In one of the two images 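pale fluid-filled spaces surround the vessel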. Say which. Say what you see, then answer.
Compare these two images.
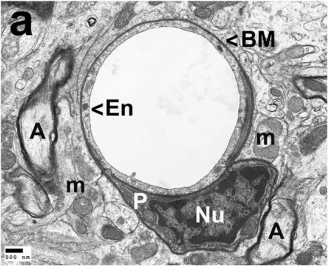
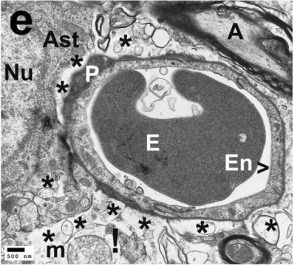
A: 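First image: the neuropil around the vessel is compact with no pale gaps. Second image: many pale empty-looking spaces lie around the vessel wall.
The second image.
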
